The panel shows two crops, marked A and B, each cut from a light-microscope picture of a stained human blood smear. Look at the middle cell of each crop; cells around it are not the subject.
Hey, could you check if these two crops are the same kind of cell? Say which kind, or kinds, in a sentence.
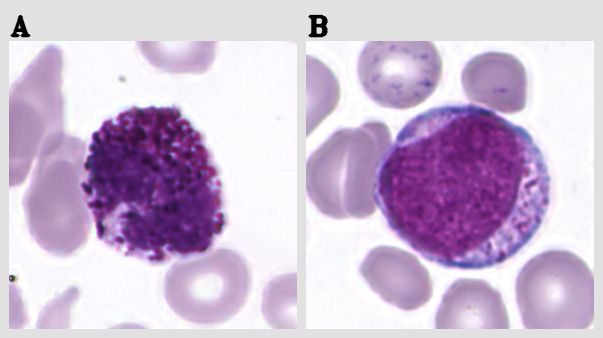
No, a basophil is what occupies crop A, and a promyelocyte is what occupies crop B.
